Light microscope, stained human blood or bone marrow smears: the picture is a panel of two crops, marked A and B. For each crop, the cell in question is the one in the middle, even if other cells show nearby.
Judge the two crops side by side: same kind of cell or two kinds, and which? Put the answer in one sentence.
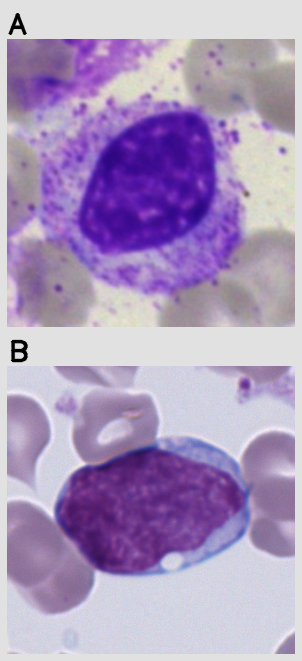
No, a myelocyte is what crop A shows, and a blast is what crop B shows.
